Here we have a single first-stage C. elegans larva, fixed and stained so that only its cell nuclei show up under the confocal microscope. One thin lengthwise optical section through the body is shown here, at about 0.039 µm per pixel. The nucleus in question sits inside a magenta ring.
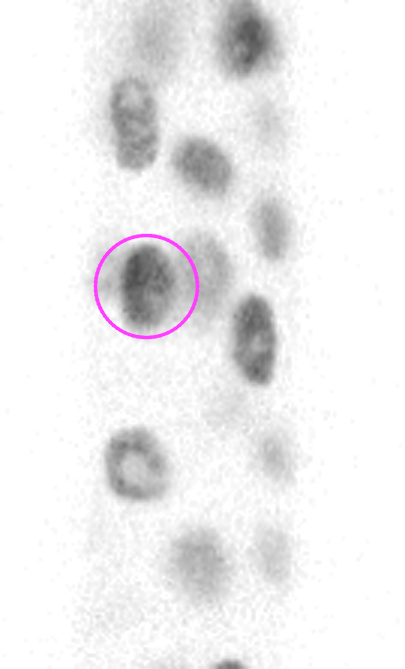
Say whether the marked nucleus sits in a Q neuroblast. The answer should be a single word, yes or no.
yes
